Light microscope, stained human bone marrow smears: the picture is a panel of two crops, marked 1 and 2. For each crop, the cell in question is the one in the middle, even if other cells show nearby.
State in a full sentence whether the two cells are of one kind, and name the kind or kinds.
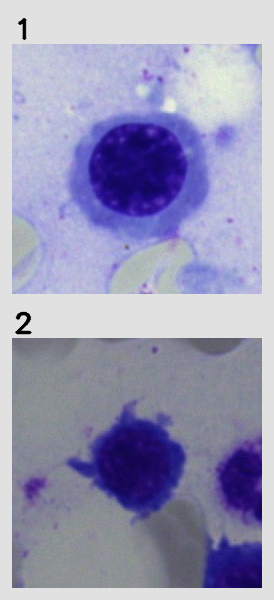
Yes, the central cells of both crops are normoblasts.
